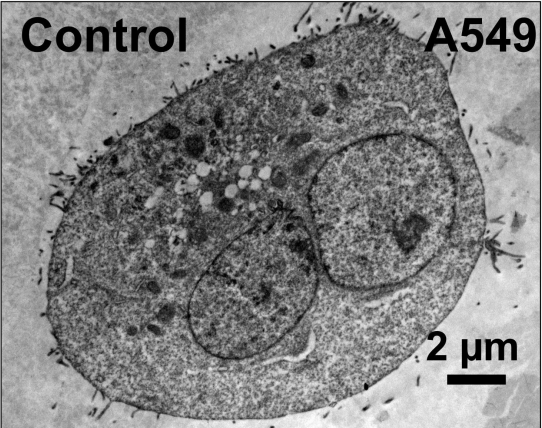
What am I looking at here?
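The cell is rounded to oval, and its surface bears many short, finger-like microvilli projecting into the surrounding pale space. Two large rounded nuclear profiles with fine, evenly dispersed chromatin, a thin dark nuclear envelope and a denser nucleolus fill much of the cell. The cytoplasm around them is granular and holds scattered dark, electron-dense organelles and a cluster of small pale round vesicles on one side of the nuclei, without large vacuoles.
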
